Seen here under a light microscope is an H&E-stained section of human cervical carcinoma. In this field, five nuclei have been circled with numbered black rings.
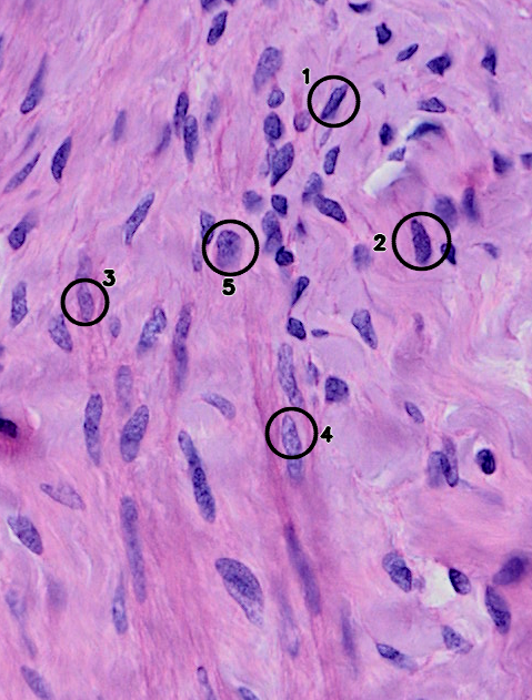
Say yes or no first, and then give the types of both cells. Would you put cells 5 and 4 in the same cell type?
No, unlike cell 4, which is a smooth muscle cell, cell 5 is a fibroblast.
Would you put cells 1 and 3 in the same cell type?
No, by type, cell 1 is a fibroblast and cell 3 is a smooth muscle cell.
